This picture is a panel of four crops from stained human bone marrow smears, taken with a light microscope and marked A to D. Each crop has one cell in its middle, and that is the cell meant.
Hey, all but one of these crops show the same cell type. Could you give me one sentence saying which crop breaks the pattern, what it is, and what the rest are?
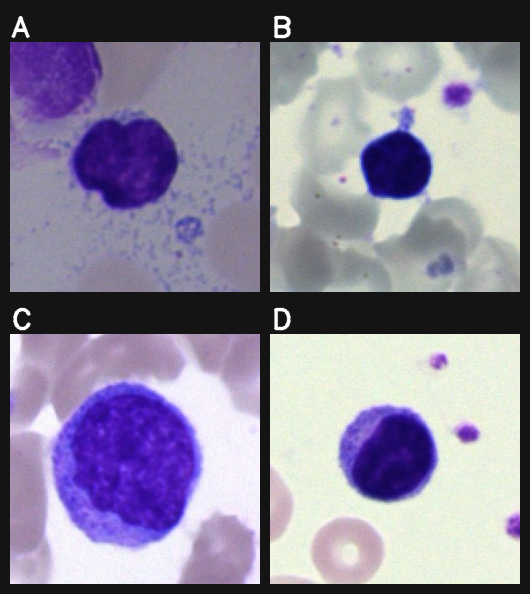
Crop C shows a blast; by contrast, all the other crops show lymphocytes.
